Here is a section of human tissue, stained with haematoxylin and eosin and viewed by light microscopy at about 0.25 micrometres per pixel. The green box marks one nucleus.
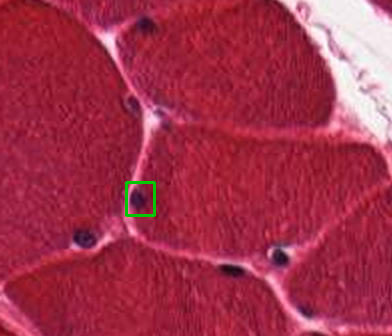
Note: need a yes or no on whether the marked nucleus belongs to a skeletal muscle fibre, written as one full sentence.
Yes, the nucleus that has been marked is that of a skeletal muscle fibre.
